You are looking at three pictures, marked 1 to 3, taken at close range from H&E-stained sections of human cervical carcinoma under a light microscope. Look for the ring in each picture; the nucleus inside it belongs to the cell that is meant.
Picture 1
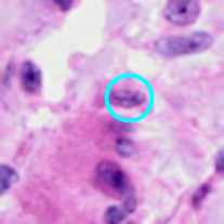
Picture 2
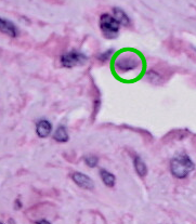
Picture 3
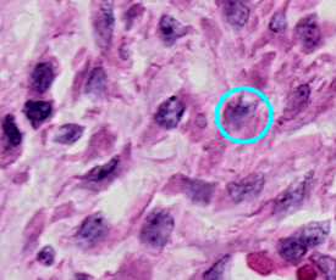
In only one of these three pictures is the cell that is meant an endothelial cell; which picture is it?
2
